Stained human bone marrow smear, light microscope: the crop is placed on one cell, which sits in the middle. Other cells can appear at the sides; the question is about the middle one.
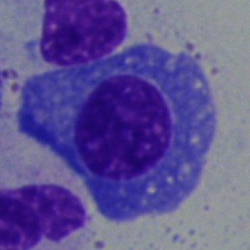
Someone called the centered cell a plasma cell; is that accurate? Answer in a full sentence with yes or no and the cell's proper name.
Yes, the centered cell in this field is a plasma cell.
